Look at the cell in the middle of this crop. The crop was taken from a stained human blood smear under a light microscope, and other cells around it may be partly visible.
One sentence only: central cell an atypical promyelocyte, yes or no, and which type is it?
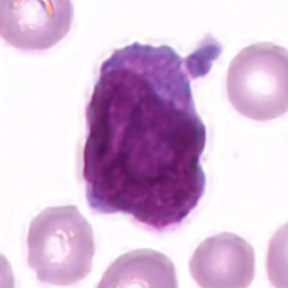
Yes, the cell in the middle of the crop is an atypical promyelocyte.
